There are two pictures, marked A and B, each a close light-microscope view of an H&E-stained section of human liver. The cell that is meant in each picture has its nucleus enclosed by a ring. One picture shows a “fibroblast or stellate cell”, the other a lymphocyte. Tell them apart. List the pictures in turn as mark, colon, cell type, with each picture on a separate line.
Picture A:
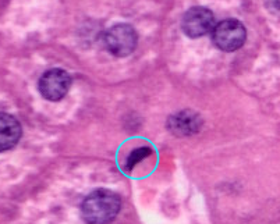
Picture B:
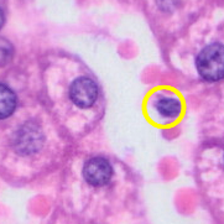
A: fibroblast or stellate cell
B: lymphocyte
